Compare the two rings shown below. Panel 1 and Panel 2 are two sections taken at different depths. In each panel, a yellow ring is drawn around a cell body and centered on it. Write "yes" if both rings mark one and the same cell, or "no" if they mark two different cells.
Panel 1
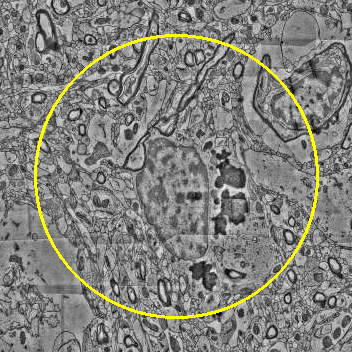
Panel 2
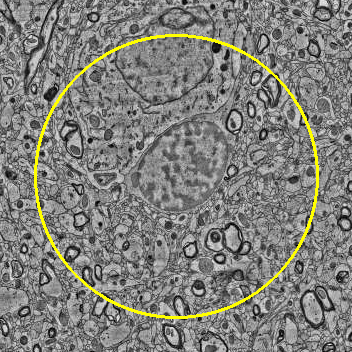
no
